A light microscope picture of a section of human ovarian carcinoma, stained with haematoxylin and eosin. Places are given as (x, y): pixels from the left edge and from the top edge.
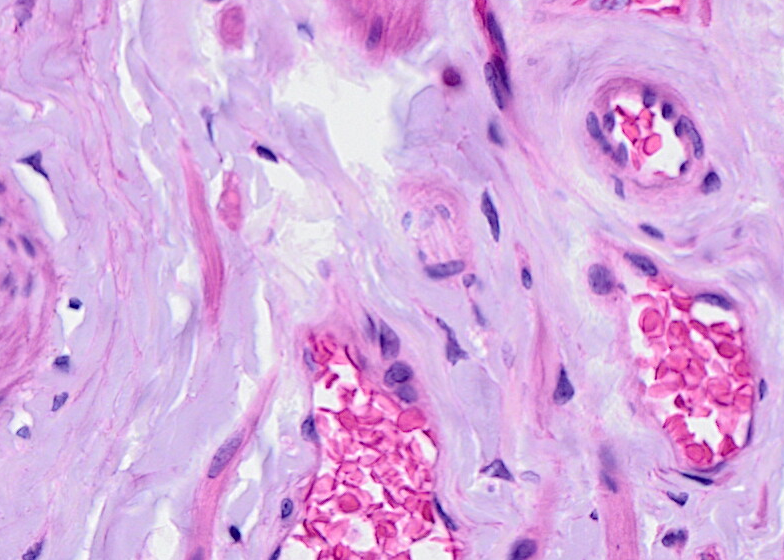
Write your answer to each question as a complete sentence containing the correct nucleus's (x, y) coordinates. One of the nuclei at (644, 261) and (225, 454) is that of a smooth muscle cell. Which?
The nucleus that sits at (225, 454) is the nucleus of a smooth muscle cell.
